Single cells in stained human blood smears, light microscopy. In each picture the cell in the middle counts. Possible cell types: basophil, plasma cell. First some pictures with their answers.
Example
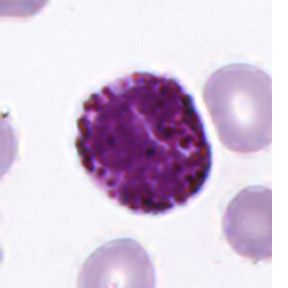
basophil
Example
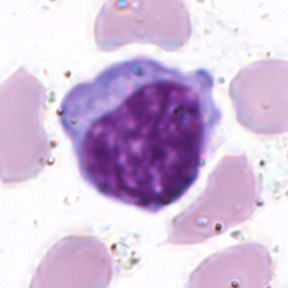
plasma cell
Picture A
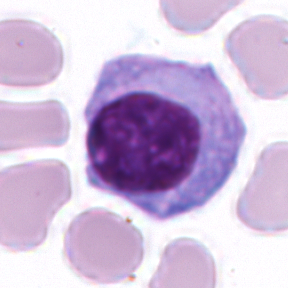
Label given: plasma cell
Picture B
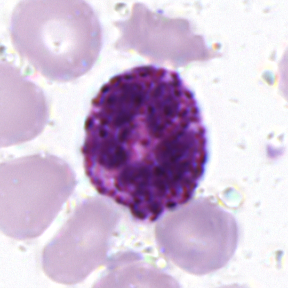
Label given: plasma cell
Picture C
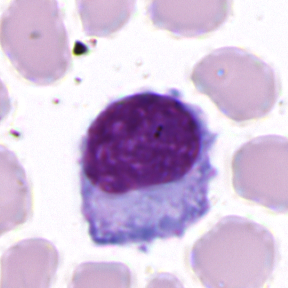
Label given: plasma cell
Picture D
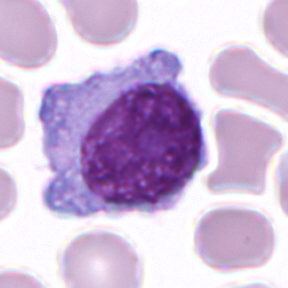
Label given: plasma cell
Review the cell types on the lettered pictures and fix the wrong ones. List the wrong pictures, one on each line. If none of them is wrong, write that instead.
B should be basophil, not plasma cell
